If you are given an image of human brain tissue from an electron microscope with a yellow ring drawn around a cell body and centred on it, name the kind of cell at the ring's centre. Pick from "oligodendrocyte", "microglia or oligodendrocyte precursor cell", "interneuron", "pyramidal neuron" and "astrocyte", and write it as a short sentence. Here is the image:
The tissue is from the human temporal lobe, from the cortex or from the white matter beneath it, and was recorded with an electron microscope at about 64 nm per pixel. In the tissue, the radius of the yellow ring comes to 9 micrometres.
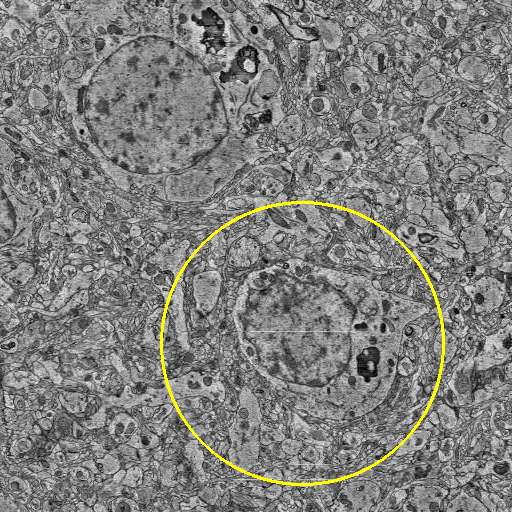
The cell at the ring's centre is an interneuron.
